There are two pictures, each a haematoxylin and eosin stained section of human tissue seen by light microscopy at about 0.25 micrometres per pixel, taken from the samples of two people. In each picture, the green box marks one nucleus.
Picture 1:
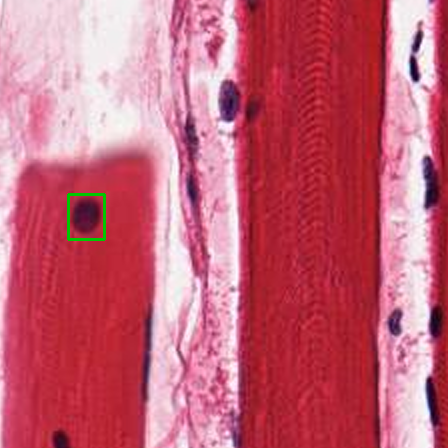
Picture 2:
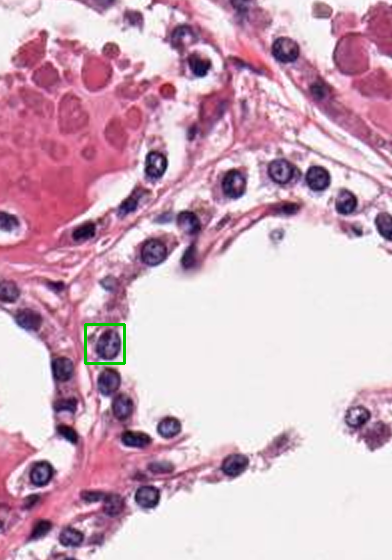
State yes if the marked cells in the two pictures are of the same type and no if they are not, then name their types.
No, the first is a skeletal muscle fibre and the second a thyroid follicular cell.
